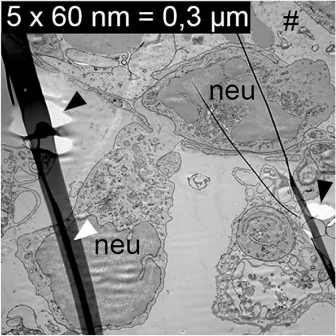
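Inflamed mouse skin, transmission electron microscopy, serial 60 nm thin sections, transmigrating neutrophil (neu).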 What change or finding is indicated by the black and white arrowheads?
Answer: Physical distortions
